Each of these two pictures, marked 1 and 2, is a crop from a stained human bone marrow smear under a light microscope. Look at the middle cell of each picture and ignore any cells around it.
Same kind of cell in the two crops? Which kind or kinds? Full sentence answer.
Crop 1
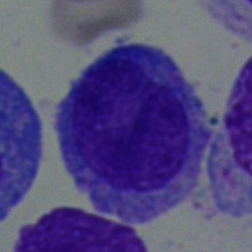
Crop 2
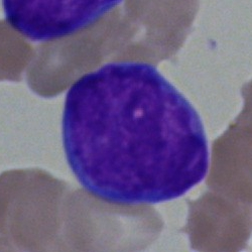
Yes, it is blasts that occupy the middle of both crops.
